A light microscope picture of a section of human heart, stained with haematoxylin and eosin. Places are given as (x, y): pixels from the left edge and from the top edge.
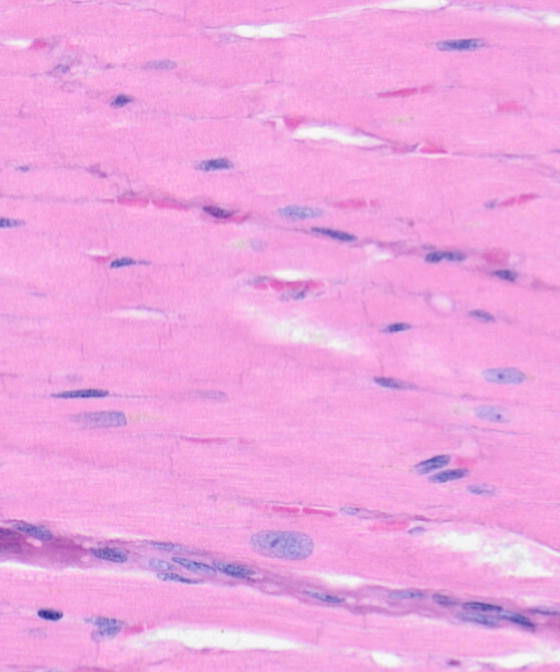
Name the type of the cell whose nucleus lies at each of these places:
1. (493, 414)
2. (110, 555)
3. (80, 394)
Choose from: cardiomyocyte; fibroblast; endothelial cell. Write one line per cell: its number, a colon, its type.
1: cardiomyocyte
2: endothelial cell
3: endothelial cell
